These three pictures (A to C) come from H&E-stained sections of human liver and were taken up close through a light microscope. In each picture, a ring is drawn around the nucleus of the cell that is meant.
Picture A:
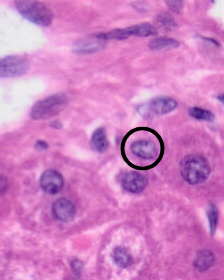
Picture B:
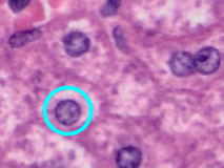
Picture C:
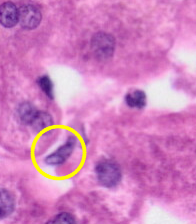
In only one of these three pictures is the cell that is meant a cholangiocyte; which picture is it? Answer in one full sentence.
The picture with the cholangiocyte is A.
